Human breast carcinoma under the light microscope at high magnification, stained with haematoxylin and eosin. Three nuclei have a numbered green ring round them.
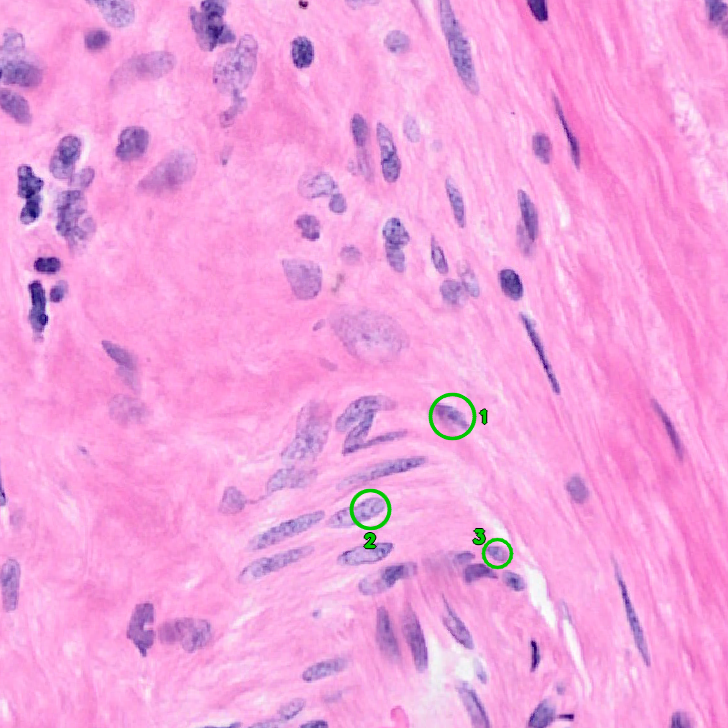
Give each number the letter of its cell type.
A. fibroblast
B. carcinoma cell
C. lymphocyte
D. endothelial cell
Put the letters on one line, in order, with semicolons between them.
A; D; D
